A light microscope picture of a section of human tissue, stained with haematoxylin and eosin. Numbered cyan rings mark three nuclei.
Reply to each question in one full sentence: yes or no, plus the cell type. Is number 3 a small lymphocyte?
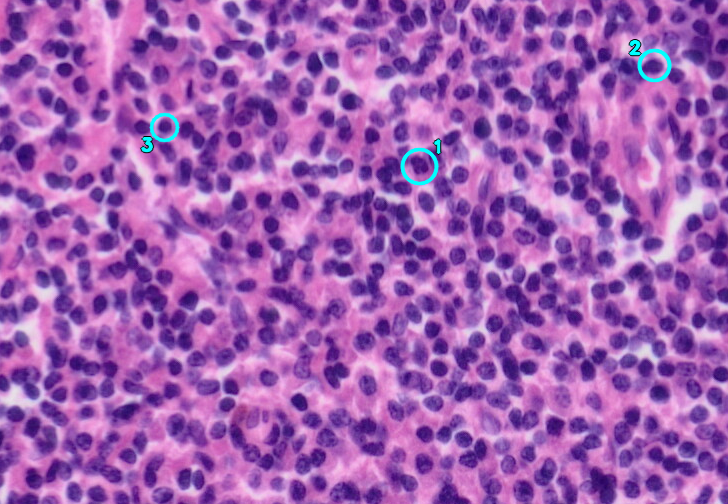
Yes, kindly take note: the cell numbered 3 is a small lymphocyte.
